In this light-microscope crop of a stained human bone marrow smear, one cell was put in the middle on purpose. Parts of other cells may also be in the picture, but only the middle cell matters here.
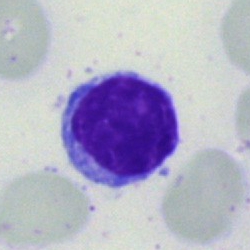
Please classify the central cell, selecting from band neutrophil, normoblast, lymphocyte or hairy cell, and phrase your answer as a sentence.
This crop is built around a lymphocyte at its centre.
